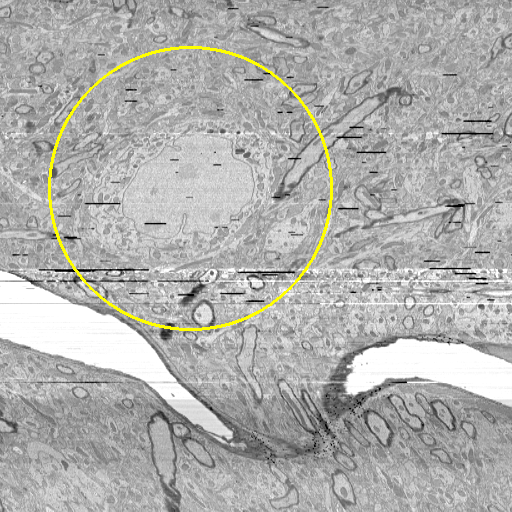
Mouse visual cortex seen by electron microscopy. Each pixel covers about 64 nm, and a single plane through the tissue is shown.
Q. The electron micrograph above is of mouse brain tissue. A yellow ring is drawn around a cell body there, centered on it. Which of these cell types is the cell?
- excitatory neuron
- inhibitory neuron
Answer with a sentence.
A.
The cell under the ring's center is an inhibitory neuron.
